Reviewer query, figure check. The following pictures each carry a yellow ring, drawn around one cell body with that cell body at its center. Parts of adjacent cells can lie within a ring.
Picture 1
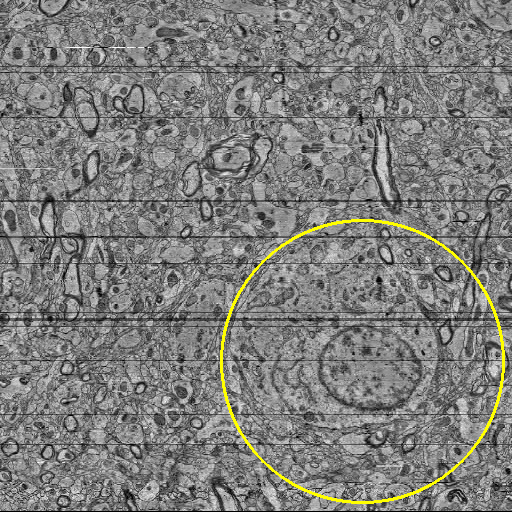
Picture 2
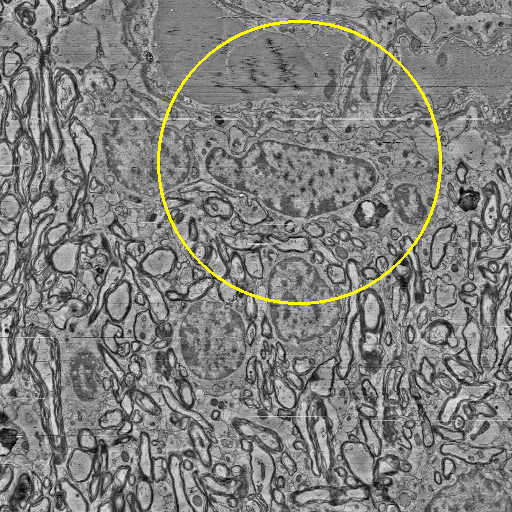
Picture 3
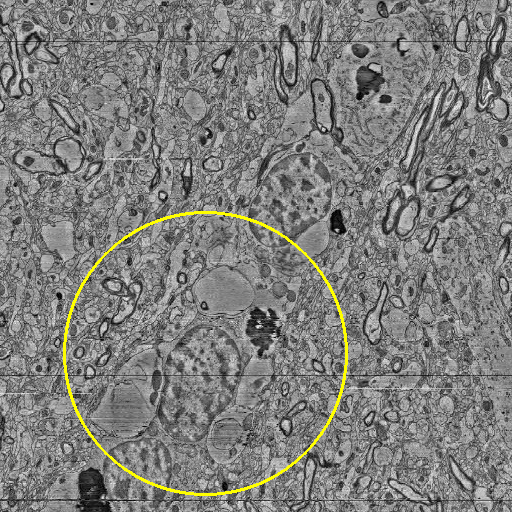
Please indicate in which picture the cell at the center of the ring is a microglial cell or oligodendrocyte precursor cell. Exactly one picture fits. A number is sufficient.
2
